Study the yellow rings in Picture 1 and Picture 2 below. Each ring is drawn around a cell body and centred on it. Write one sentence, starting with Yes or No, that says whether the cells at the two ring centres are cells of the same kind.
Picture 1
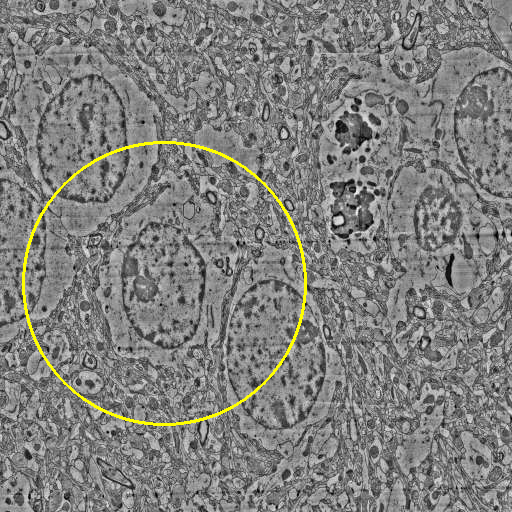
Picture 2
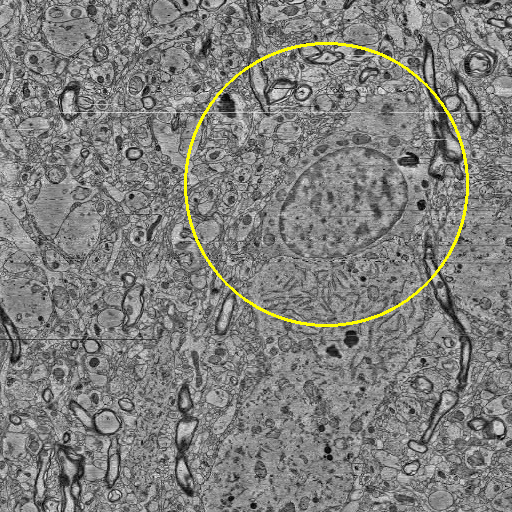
No, the cells at the ring centres are of two kinds.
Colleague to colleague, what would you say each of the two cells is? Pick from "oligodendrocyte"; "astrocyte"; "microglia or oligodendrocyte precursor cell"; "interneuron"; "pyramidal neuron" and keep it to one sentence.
The cell in the first picture is an astrocyte; the second picture's cell is an oligodendrocyte.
